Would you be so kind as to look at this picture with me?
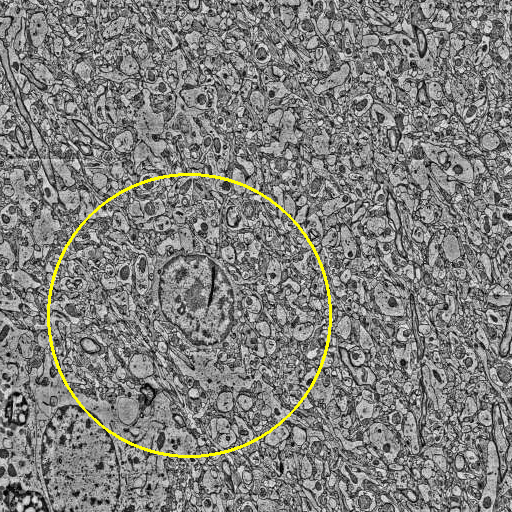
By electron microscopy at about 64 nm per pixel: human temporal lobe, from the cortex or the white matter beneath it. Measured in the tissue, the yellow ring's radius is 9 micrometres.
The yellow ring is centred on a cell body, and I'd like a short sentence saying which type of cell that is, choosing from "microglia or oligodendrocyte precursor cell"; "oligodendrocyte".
The cell body in the ring belongs to an oligodendrocyte.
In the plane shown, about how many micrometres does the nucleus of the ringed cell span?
In this plane, roughly 6 by 5 micrometres.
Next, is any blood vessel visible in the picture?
No, a blood vessel is absent from this picture.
